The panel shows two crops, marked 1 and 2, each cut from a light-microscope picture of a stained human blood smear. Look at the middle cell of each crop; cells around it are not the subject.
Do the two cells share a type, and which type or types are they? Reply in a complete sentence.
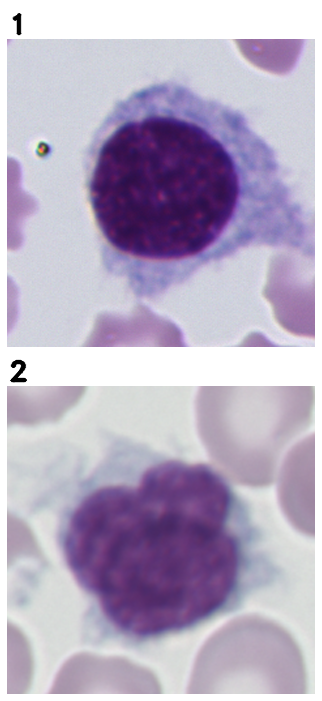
Yes, both crops are centred on hairy cells.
